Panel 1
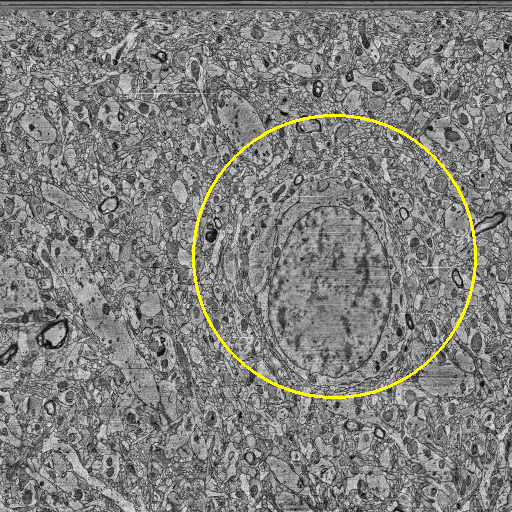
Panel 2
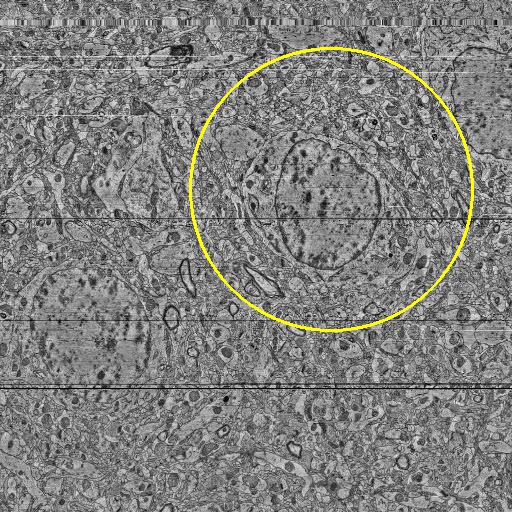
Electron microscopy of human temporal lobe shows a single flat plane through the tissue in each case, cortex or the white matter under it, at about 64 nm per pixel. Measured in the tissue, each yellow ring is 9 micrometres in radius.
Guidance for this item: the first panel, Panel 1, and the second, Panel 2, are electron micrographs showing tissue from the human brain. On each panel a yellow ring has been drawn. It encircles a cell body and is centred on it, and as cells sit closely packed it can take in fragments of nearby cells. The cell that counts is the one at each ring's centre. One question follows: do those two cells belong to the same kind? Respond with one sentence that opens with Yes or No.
Yes, the cells at the ring centres in Panel 1 and Panel 2 are of one kind.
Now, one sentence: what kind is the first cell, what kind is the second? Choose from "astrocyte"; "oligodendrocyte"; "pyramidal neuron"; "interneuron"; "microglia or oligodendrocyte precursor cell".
The first and the second cell are each a pyramidal neuron.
